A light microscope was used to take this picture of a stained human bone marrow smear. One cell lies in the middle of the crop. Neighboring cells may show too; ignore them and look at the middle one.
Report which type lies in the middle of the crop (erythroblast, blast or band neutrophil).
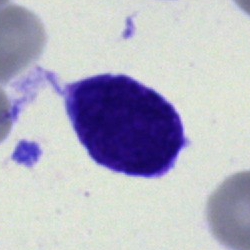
blast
